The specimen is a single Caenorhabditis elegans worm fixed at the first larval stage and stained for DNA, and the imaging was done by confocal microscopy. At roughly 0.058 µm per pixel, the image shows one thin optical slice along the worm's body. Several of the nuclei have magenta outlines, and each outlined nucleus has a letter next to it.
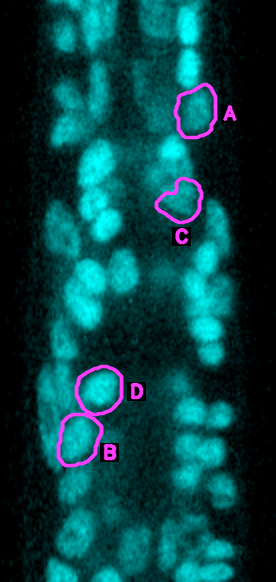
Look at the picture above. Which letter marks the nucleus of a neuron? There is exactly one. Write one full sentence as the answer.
B is from a neuron.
